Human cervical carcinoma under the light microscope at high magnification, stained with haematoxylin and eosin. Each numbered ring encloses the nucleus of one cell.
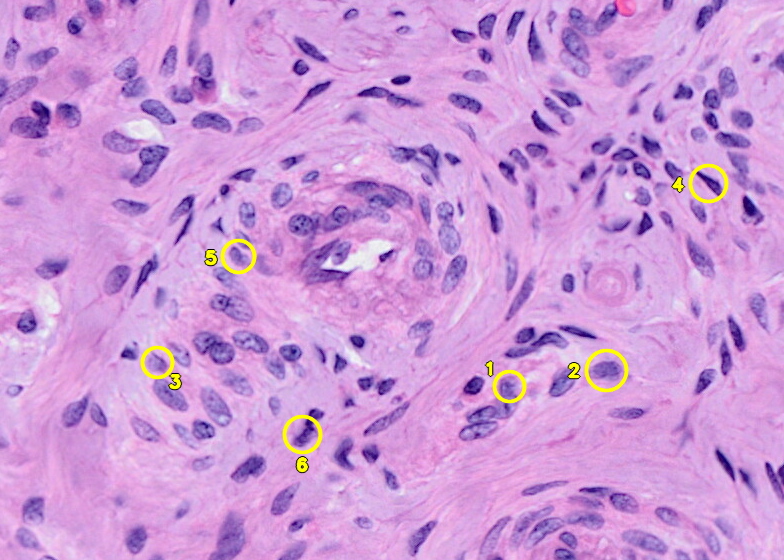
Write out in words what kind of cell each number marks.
Cell 1 is an endothelial cell, cell 2 is a fibroblast, cell 3 is a smooth muscle cell, cell 4 is a fibroblast, cell 5 is a smooth muscle cell and cell 6 is a fibroblast.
